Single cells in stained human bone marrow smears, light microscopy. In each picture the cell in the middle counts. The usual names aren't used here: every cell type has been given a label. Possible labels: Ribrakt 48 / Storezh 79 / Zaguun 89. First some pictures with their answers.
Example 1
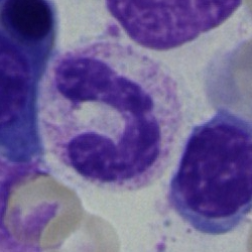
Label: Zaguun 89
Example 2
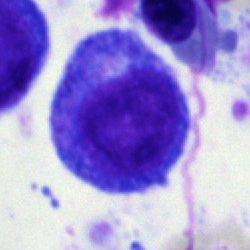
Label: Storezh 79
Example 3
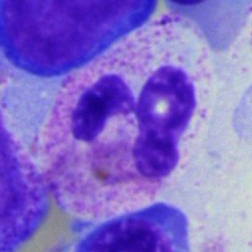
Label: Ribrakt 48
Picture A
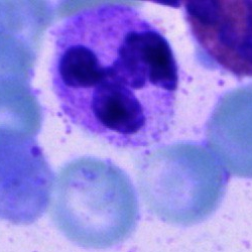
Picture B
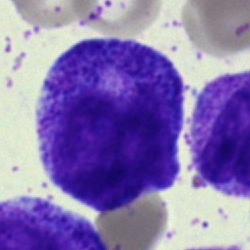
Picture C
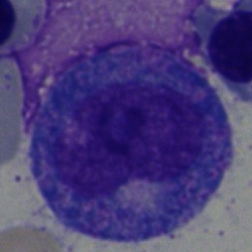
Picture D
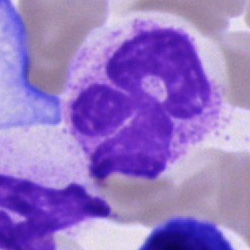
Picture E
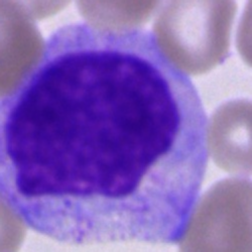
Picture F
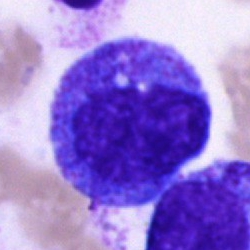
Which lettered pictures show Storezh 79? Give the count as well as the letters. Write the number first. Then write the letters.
4, namely B, C, E, F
